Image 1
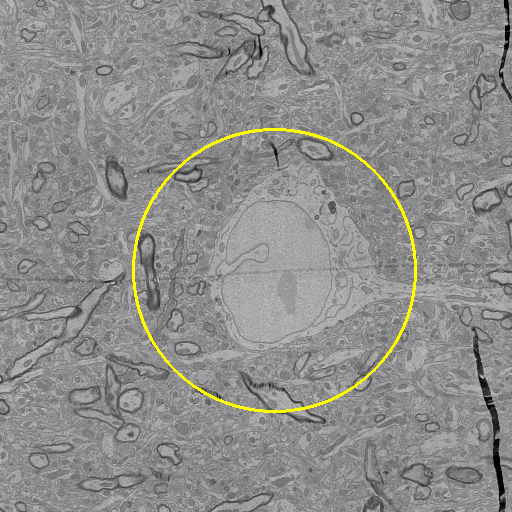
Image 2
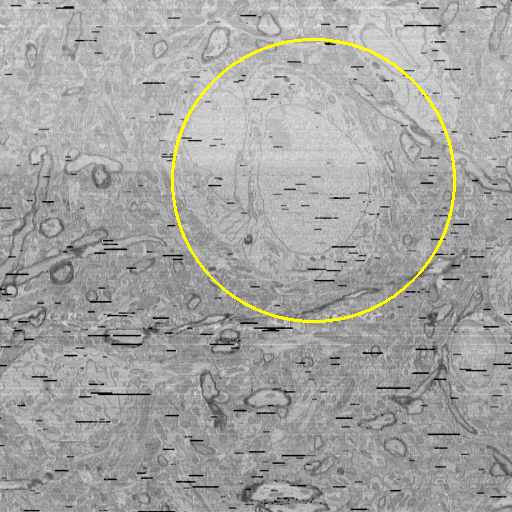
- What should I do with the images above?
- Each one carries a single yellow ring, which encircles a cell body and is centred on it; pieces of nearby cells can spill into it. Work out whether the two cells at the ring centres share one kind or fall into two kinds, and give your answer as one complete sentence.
The ring-centre cells of Image 1 and Image 2 share one kind.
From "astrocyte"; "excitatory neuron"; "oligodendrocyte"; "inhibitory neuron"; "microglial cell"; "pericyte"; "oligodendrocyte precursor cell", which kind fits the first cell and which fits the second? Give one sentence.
Each of the two cells is an excitatory neuron.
